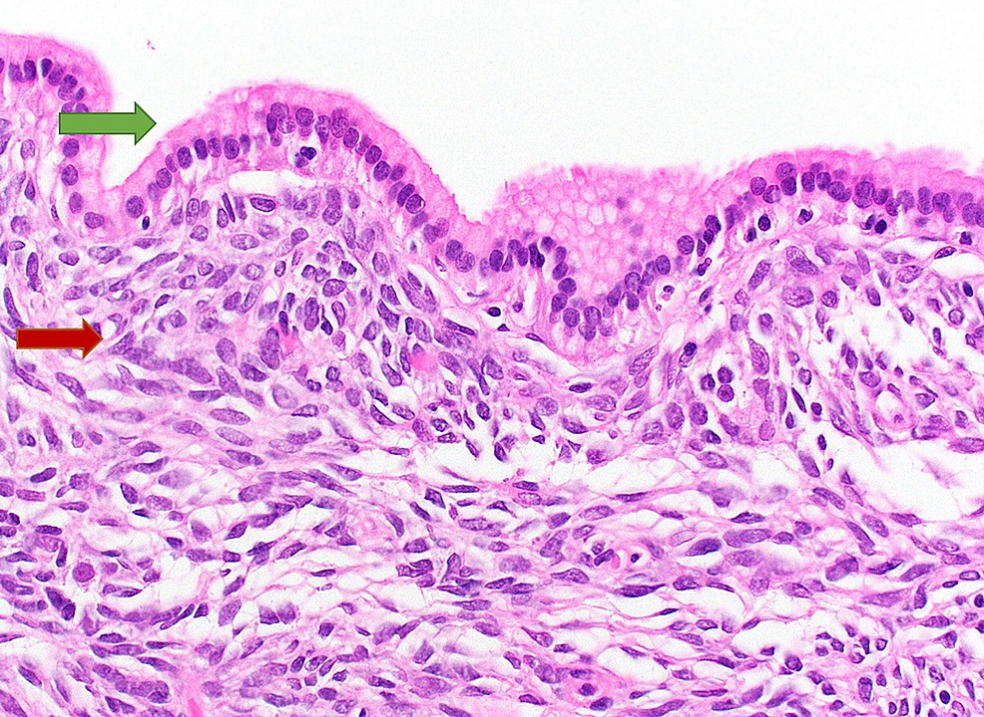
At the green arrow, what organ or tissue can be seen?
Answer: Single layer of mucinous cuboidal to columnar epithelium.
